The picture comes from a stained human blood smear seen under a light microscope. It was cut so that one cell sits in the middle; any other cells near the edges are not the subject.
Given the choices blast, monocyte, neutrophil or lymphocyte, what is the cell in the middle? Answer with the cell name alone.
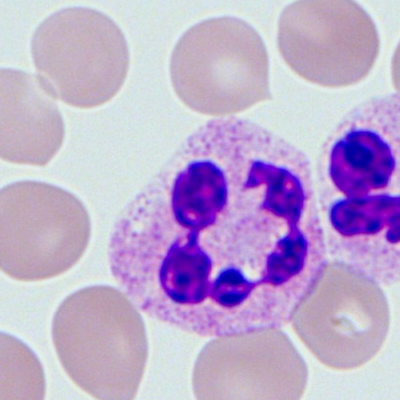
neutrophil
